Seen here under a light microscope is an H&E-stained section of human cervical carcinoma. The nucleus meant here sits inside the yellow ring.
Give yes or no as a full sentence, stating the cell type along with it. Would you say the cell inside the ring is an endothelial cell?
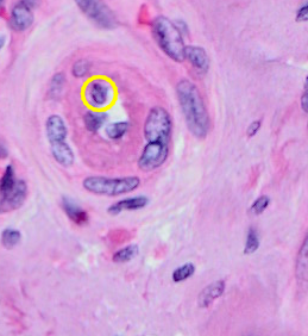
Yes, that the cell inside the ring is an endothelial cell is correct.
